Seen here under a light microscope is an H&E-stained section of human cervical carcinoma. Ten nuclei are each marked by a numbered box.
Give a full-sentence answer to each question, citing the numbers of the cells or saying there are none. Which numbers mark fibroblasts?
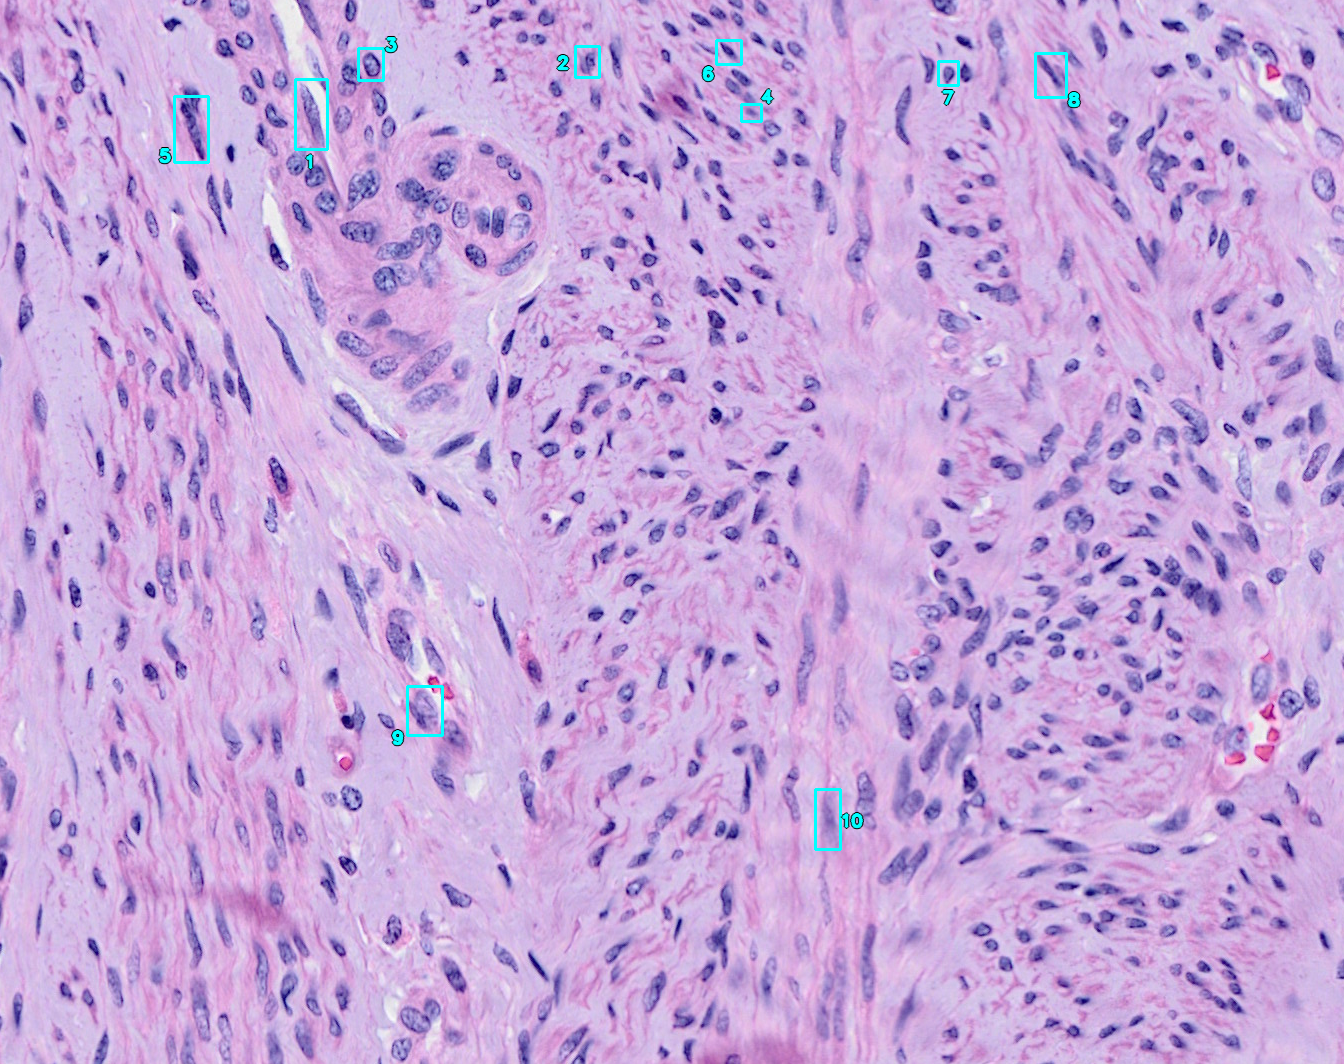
Of all the numbered cells, only one is a fibroblast, and that is cell 7.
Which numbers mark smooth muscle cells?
The cells marked by the numbers 2, 3, 4, 6, 8 and 10 are smooth muscle cells.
